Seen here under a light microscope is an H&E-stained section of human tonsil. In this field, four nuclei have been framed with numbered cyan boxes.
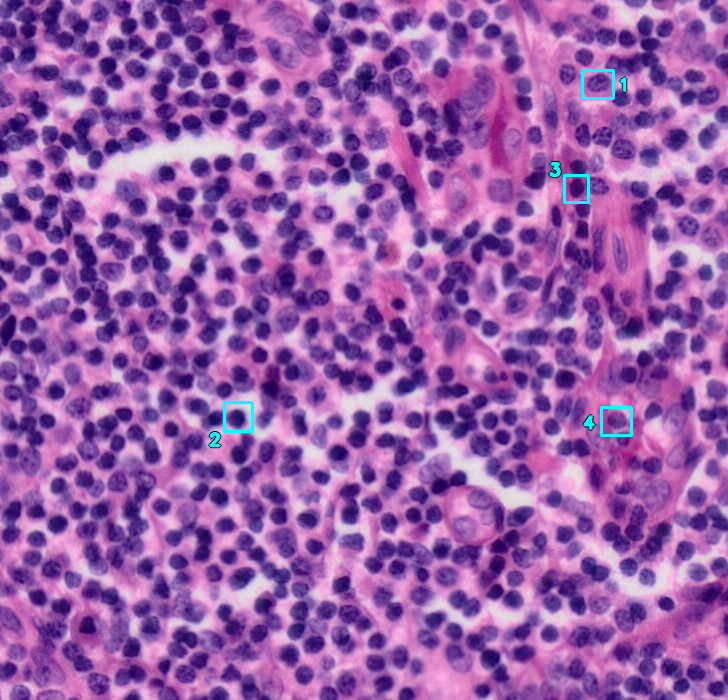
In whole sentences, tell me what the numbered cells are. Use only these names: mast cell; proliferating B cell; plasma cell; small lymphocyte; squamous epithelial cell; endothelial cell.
Cells 1 and 3 are plasma cells. Cell 2 is a small lymphocyte. Cell 4 is an endothelial cell.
